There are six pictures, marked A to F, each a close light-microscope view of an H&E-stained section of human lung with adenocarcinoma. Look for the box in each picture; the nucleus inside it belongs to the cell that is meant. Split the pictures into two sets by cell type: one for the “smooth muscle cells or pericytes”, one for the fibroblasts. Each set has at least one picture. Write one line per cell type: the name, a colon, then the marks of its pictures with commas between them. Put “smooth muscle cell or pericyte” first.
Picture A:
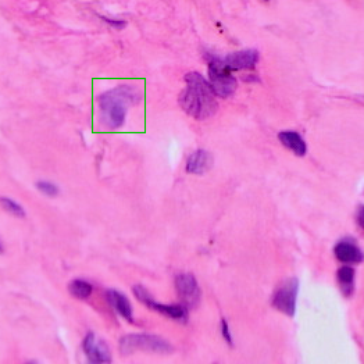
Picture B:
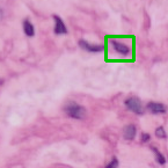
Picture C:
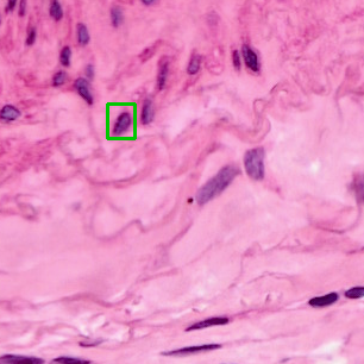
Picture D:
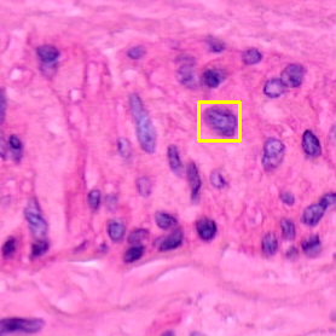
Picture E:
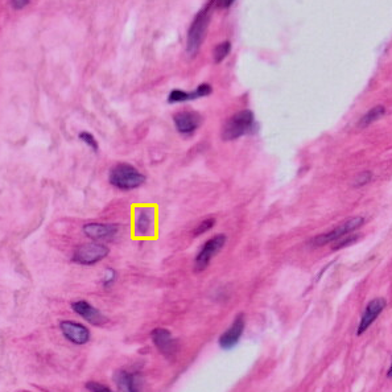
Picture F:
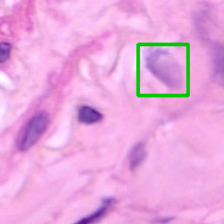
smooth muscle cell or pericyte: B, C, D, E
fibroblast: A, F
